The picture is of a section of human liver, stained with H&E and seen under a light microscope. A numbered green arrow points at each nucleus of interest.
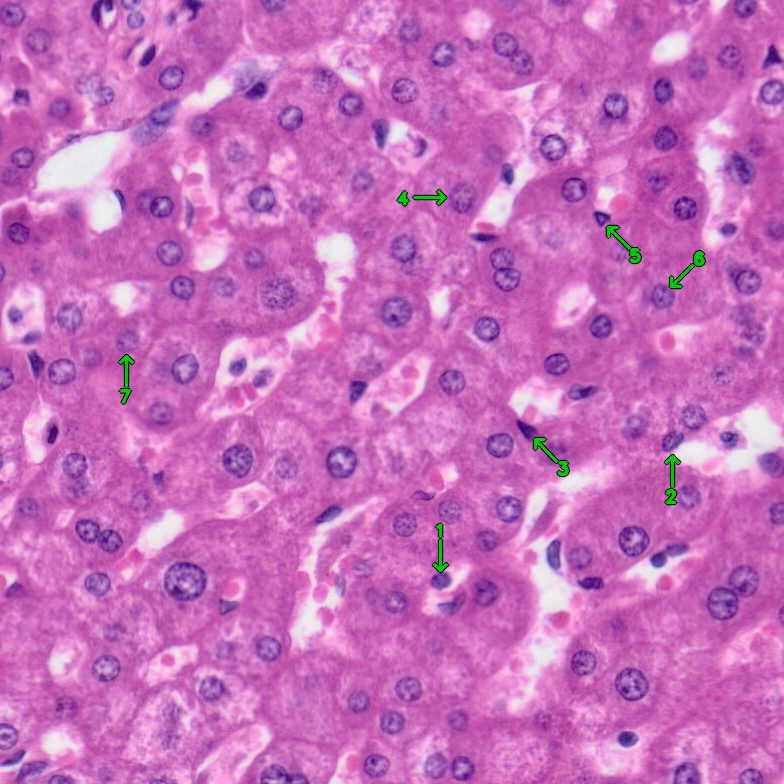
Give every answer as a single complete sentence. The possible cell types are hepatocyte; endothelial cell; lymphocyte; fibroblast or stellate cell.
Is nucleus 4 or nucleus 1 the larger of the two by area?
Nucleus 4 covers more area, about 2 times as much as nucleus 1.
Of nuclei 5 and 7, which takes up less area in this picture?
It is nucleus 5; nucleus 7 has about 2 times its area.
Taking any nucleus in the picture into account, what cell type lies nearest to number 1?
Closest to number 1 lies the nucleus of an endothelial cell.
